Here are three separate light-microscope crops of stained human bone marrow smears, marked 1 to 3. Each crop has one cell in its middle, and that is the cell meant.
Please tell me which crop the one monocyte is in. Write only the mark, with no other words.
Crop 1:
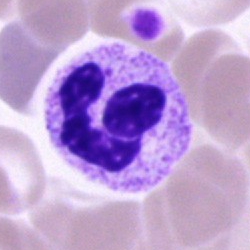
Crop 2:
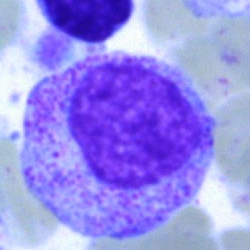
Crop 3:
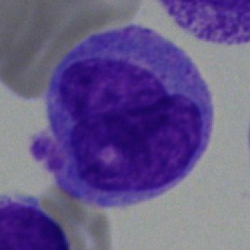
3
